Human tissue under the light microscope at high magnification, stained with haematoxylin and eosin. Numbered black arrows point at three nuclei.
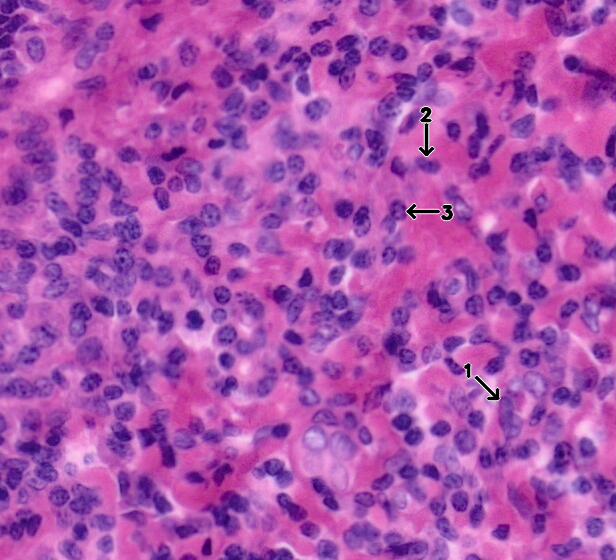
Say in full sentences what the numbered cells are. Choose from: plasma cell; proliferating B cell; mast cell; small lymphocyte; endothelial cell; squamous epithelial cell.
Cell 1 is an endothelial cell. Cell 2 is a mast cell. Cell 3 is a plasma cell.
